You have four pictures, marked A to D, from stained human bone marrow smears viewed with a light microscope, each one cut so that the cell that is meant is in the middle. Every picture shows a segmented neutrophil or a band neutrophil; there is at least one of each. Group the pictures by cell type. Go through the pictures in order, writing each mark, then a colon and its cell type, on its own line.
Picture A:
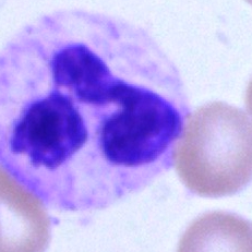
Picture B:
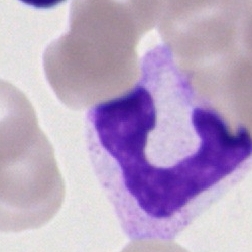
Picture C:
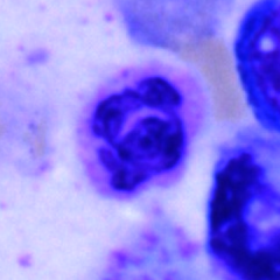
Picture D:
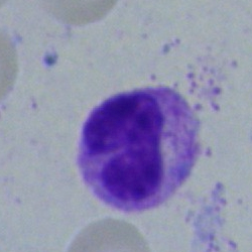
A: segmented neutrophil
B: band neutrophil
C: segmented neutrophil
D: band neutrophil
